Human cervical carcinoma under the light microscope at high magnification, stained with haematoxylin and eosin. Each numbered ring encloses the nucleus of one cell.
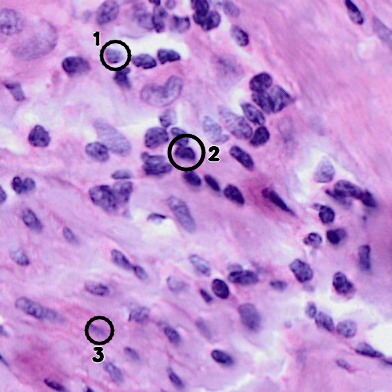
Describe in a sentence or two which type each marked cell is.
Cells 1 and 2 are lymphocytes. Cell 3 is a smooth muscle cell.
